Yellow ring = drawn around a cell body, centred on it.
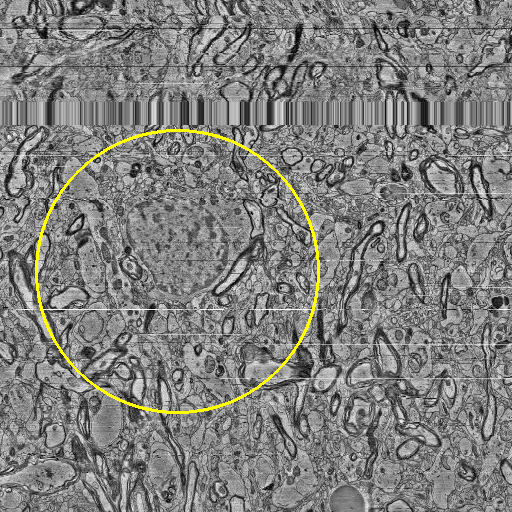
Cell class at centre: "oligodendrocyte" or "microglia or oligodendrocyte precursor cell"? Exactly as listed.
oligodendrocyte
